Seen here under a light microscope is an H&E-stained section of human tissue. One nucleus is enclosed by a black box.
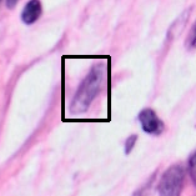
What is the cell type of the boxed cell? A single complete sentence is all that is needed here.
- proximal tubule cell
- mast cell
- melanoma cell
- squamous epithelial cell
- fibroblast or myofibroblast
So far as cell type goes, the boxed cell is a fibroblast or myofibroblast.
